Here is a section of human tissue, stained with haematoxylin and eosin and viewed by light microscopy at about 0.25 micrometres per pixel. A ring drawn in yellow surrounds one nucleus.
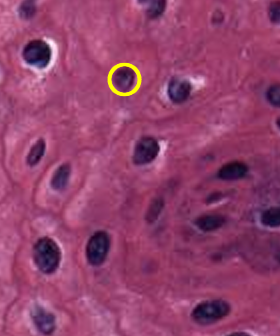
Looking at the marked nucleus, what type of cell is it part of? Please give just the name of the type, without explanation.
squamous epithelial cell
